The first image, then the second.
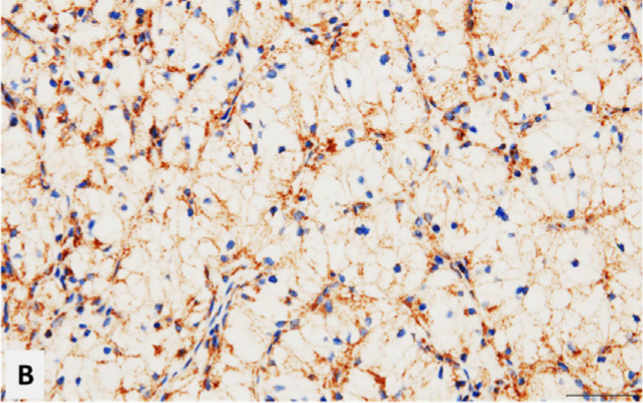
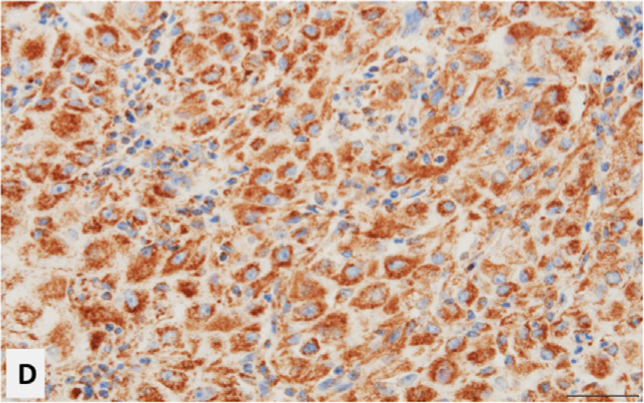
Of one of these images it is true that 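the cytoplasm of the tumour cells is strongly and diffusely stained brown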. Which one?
the second image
